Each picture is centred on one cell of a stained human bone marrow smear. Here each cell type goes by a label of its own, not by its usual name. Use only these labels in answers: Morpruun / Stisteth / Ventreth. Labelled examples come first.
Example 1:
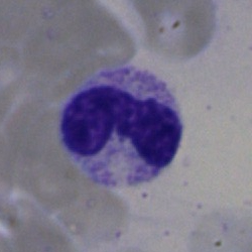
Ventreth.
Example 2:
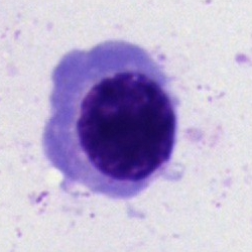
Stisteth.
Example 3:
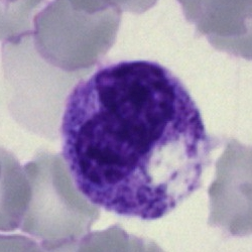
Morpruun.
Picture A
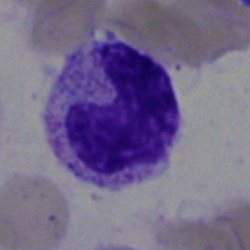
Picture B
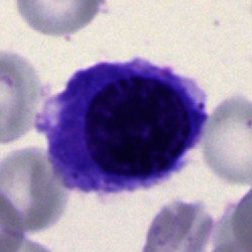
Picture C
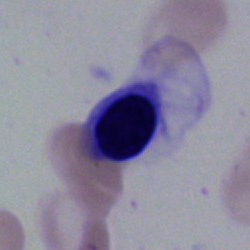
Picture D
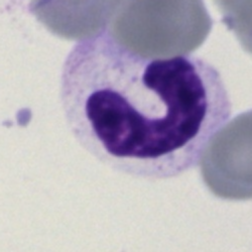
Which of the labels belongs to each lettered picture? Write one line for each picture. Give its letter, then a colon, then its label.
A: Ventreth.
B: Stisteth.
C: Stisteth.
D: Ventreth.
